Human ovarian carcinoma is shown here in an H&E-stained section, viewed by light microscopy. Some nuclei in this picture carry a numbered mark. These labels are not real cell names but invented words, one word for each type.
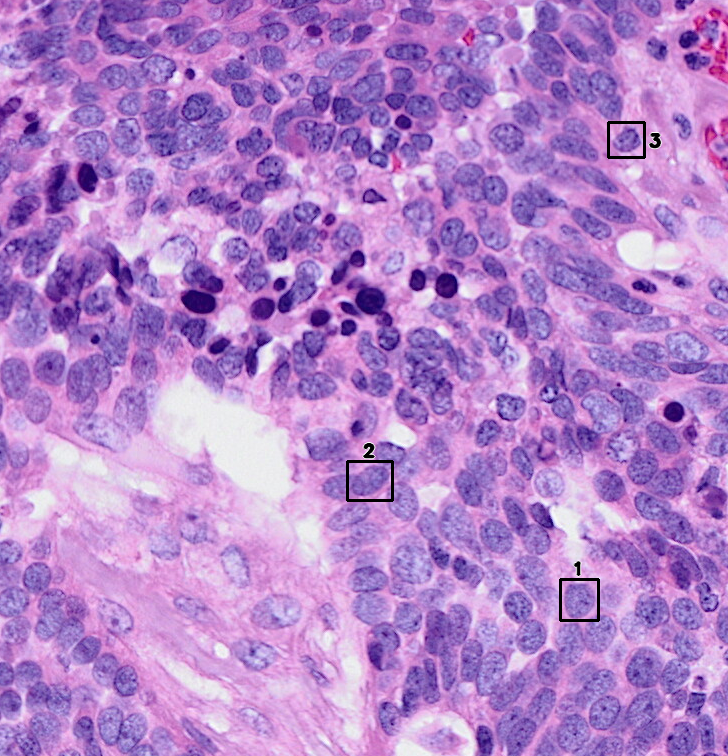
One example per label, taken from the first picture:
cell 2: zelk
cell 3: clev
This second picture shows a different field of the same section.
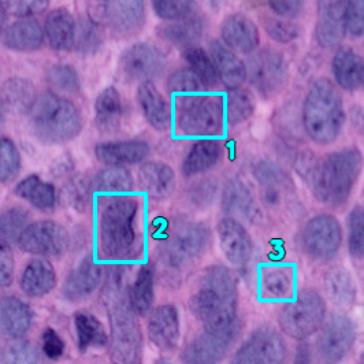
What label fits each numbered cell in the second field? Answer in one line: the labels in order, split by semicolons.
zelk; zelk; clev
